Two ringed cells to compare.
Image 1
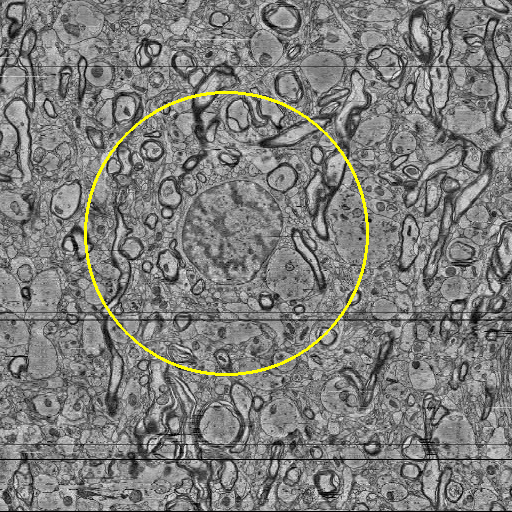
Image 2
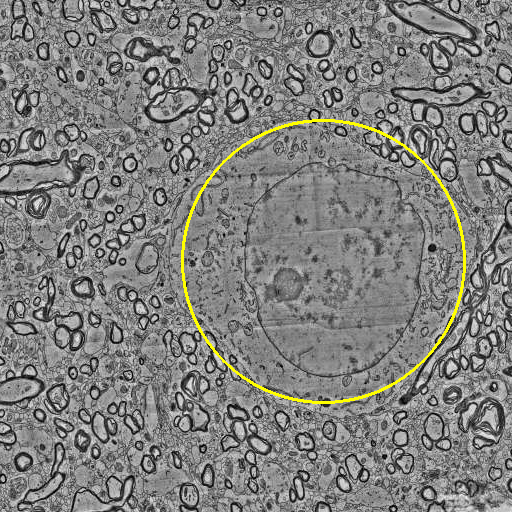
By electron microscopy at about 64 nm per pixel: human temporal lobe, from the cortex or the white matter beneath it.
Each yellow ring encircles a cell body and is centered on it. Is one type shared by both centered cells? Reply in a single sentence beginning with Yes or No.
No, two types are found among the cells at the centers of the rings.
